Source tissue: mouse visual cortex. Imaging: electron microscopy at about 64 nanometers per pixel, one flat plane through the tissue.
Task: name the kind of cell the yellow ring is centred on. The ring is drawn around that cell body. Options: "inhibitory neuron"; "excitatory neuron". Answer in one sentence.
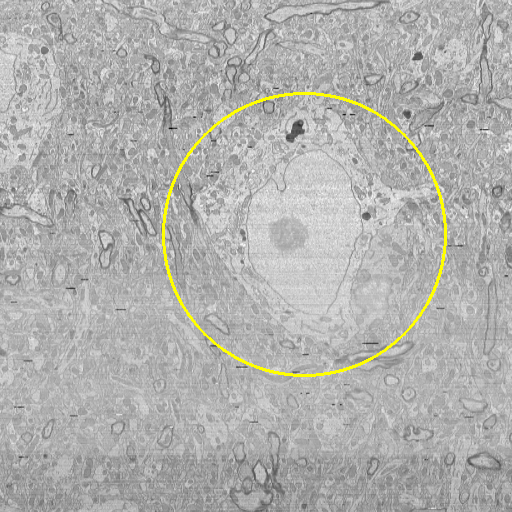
This cell body belongs to an excitatory neuron.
